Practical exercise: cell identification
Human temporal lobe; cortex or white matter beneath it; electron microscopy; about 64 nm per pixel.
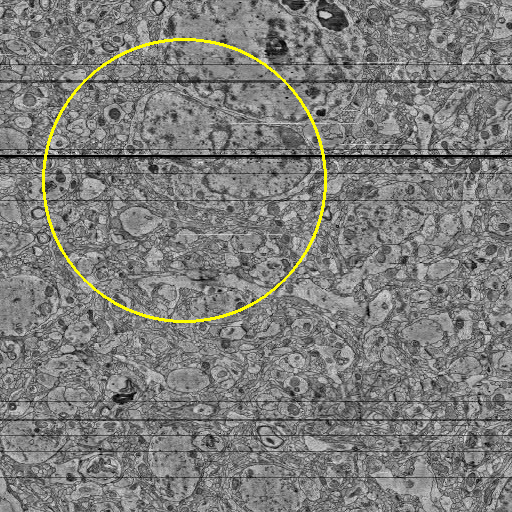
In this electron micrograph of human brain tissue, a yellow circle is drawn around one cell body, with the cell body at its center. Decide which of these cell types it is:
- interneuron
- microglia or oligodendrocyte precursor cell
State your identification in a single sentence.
The ringed cell is an interneuron.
